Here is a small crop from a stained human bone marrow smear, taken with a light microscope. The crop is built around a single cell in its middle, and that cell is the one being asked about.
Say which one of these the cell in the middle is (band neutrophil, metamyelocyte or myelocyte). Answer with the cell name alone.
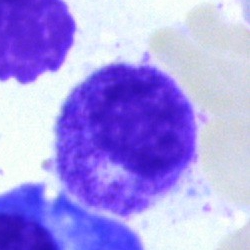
myelocyte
